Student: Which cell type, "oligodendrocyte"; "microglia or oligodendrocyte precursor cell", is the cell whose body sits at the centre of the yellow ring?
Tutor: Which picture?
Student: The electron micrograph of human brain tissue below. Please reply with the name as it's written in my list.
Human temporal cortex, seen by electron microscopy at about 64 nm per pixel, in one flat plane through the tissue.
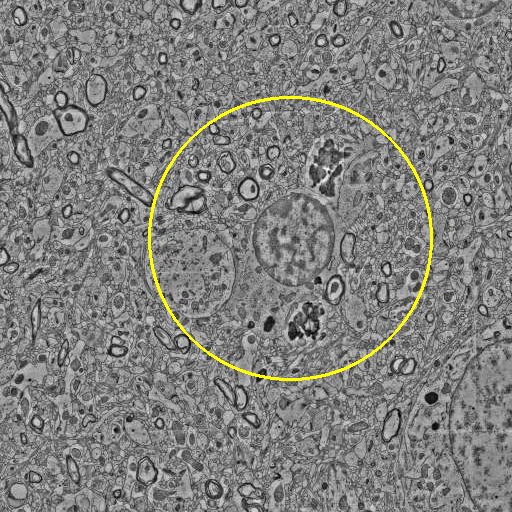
oligodendrocyte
